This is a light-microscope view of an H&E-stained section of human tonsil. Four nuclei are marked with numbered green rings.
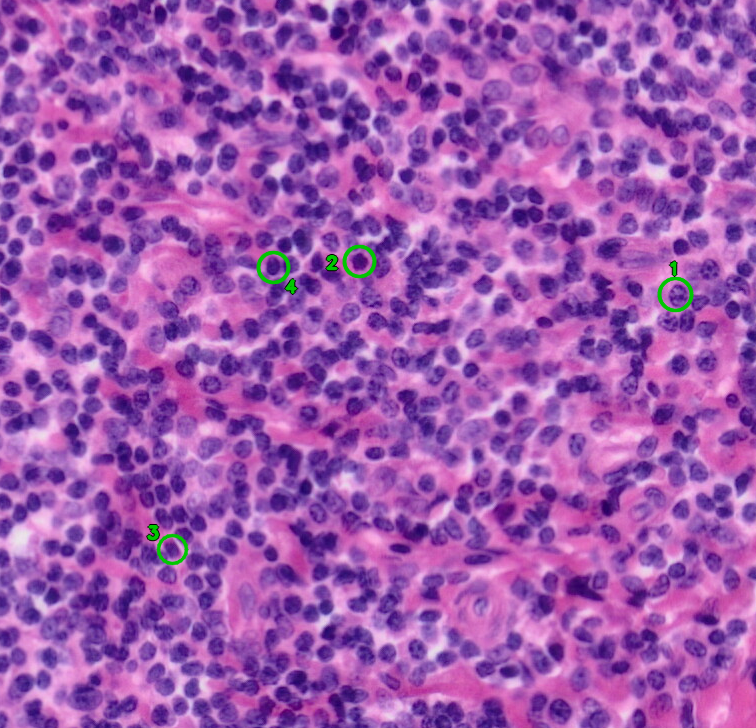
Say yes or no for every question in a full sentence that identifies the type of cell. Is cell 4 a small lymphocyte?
Yes, and to answer plainly, cell 4 is a small lymphocyte.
